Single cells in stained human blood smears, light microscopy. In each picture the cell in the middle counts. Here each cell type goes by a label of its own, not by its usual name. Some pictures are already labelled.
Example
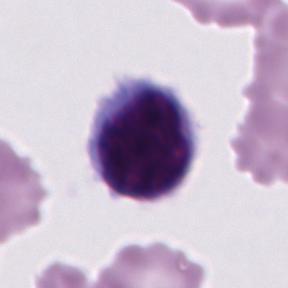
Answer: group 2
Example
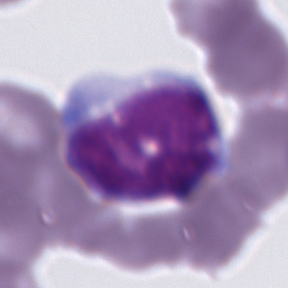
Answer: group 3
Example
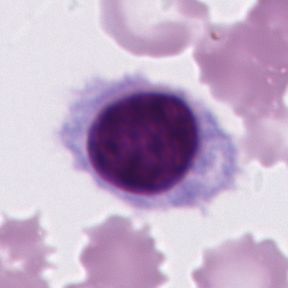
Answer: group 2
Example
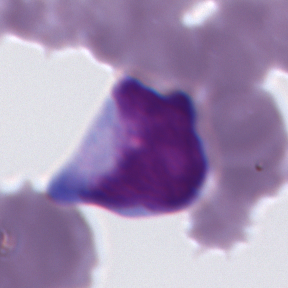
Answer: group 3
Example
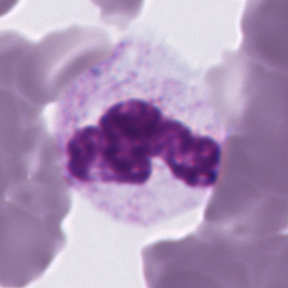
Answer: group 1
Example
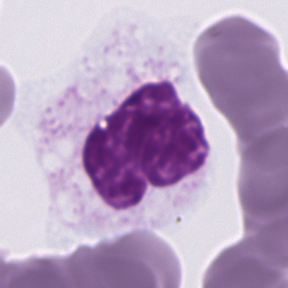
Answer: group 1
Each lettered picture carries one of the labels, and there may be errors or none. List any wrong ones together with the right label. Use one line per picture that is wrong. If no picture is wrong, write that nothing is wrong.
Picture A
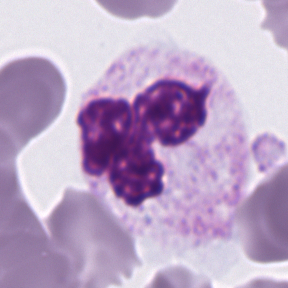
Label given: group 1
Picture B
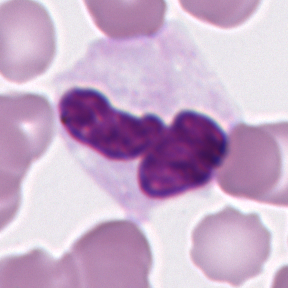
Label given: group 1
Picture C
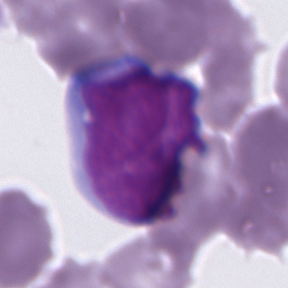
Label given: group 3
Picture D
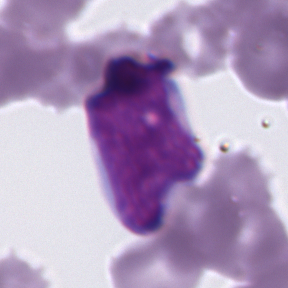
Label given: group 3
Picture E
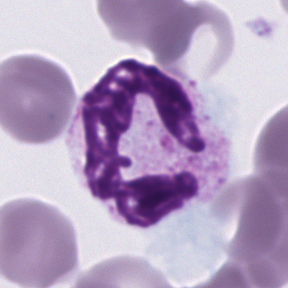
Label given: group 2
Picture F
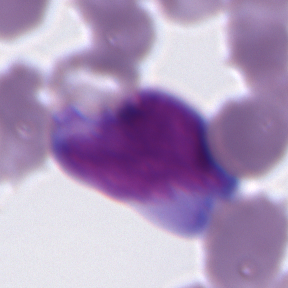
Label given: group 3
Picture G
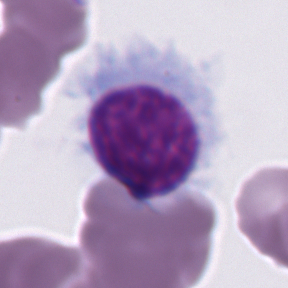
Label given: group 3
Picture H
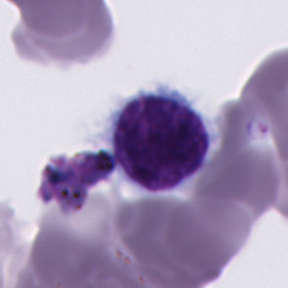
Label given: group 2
E is labelled group 2; correct label: group 1
G is labelled group 3; correct label: group 2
